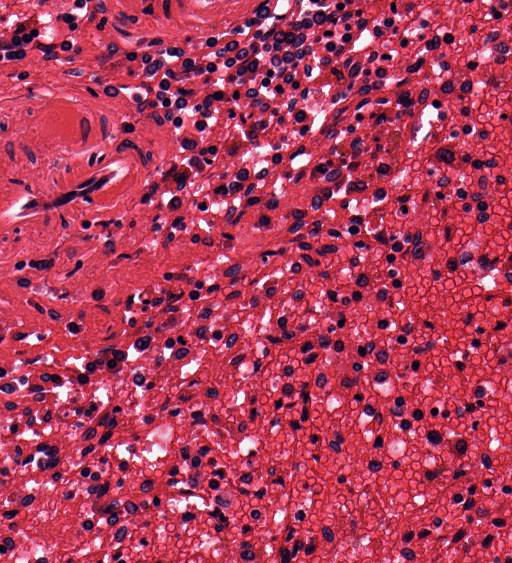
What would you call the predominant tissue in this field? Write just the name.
red pulp of the spleen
